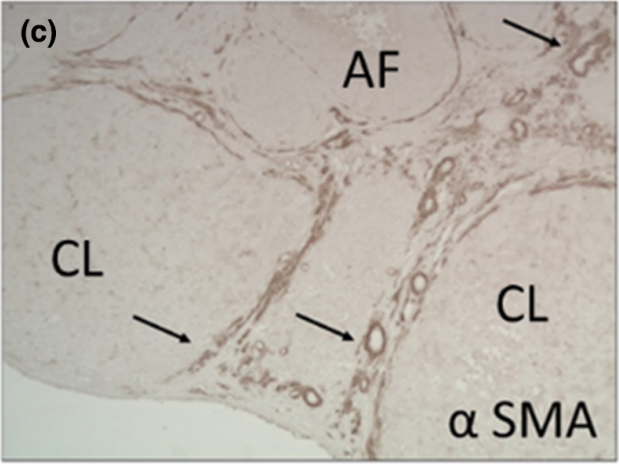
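Brown stain outlines vessel walls as rings around open lumens and as elongated tubes running through the stromal septa. Finer brown strands and dots are scattered through the stroma between the rounded bodies. The rounded bodies themselves are pale with only sparse fine brown specks. A thin brown rim surrounds the follicle at the top.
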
